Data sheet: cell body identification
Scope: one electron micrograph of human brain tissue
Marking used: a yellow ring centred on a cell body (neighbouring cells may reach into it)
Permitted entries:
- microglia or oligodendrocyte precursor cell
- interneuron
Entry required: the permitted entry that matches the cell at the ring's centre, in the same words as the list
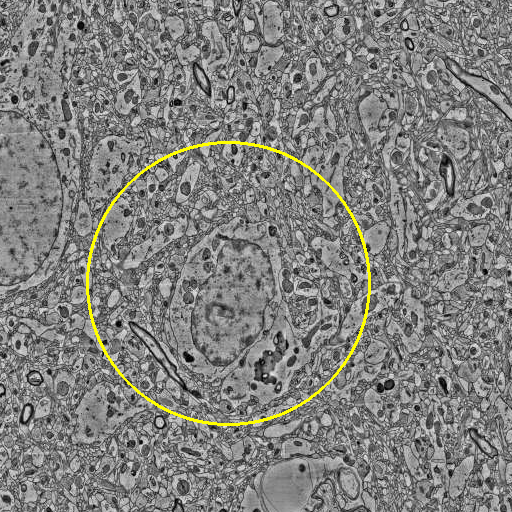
interneuron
